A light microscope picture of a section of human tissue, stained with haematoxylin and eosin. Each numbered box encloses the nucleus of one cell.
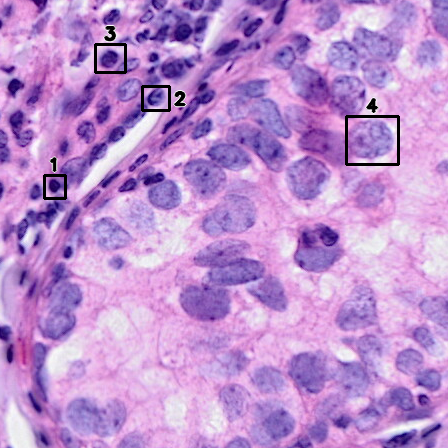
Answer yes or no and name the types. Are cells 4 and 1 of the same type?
No, that's wrong; cell 4 is a carcinoma cell and cell 1 is a lymphocyte.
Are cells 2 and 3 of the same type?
Yes, the cell marked 2 and the cell marked 3 are both lymphocytes.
